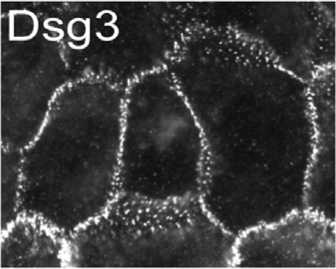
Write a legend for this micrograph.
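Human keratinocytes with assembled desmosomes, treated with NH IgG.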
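The cells are large and polygonal, fitted closely together like paving stones. Their shared borders are traced by continuous, fine, beaded lines of bright dots, while the cell interiors are dark with only faint diffuse haze.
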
